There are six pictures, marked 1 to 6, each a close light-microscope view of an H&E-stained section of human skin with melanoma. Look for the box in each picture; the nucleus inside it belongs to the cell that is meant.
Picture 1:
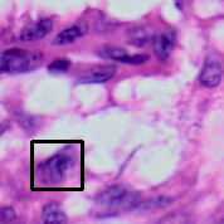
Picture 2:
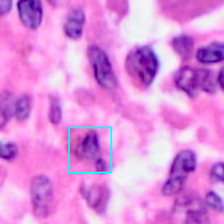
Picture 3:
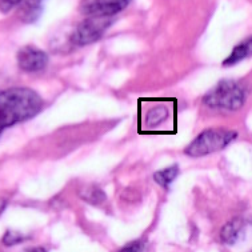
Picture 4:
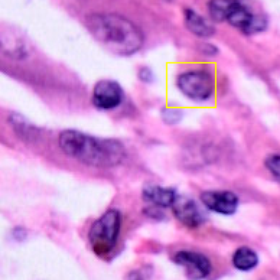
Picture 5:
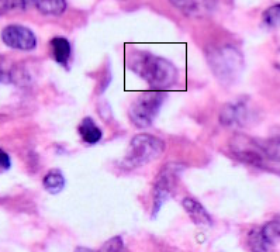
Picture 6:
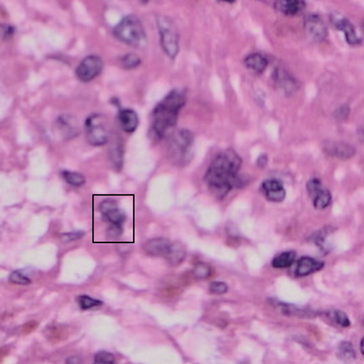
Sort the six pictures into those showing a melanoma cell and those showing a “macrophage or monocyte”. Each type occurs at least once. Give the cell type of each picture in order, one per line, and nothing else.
melanoma cell
macrophage or monocyte
macrophage or monocyte
macrophage or monocyte
melanoma cell
macrophage or monocyte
